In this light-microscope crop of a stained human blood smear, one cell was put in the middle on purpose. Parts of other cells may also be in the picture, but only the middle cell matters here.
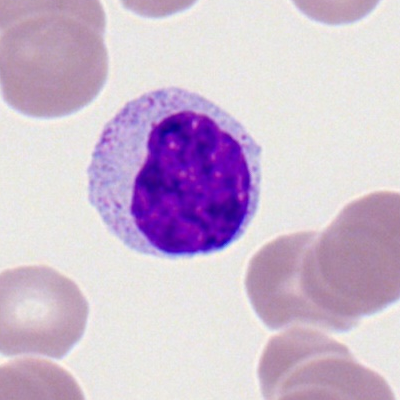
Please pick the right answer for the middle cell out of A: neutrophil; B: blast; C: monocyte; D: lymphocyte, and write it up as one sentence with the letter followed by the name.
Option D holds, for the cell in the middle is a lymphocyte.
